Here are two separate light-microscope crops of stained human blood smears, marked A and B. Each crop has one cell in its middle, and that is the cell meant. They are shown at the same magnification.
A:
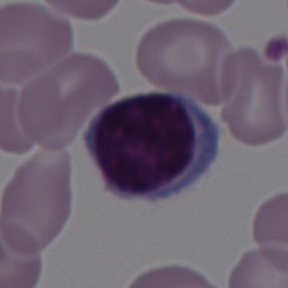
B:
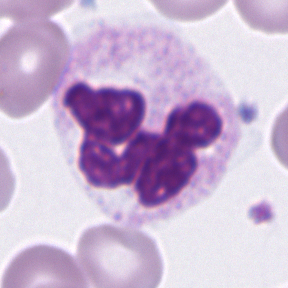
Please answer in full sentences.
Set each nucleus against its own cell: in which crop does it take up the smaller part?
It is the cell in picture B that is filled less by its nucleus.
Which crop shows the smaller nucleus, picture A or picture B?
The nucleus in picture A is smaller; the one in picture B has about 1.5 times its area.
